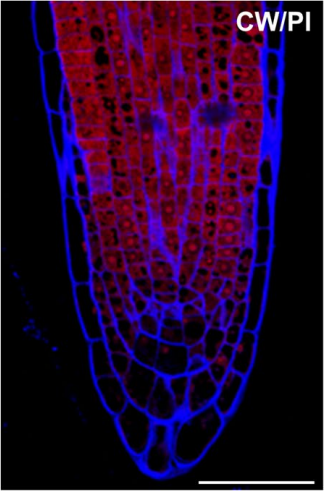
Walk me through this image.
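A longitudinal section through a root tip, its cells outlined by bright blue walls and filled with red. Cells are arranged in regular longitudinal files that converge toward a rounded tip. Toward the top the cells are small, densely packed and red-filled, many with dark spots inside. Two blurry bluish patches lie in the upper middle. This is the root apex, with dividing cells behind a cap.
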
